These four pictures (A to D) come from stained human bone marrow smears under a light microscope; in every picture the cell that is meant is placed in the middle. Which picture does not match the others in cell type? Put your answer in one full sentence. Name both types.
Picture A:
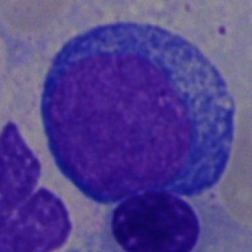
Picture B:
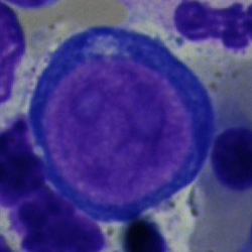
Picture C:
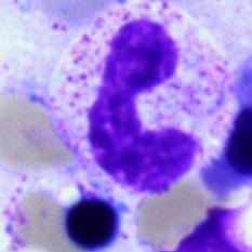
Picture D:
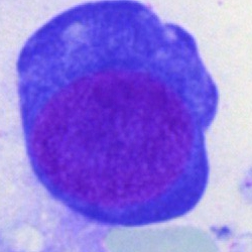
Picture C is the odd one out: it shows a band neutrophil, while the others show proerythroblasts.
